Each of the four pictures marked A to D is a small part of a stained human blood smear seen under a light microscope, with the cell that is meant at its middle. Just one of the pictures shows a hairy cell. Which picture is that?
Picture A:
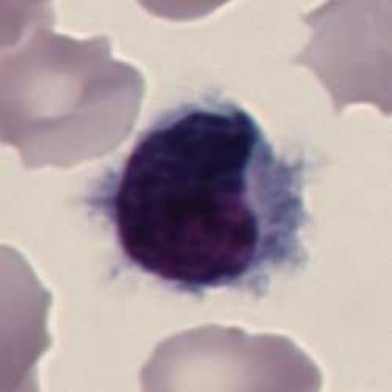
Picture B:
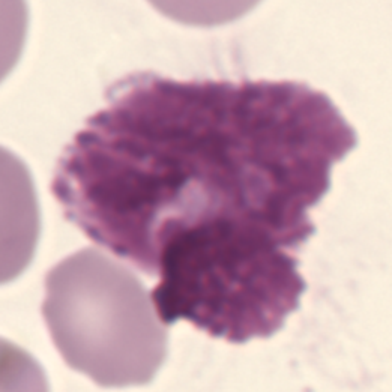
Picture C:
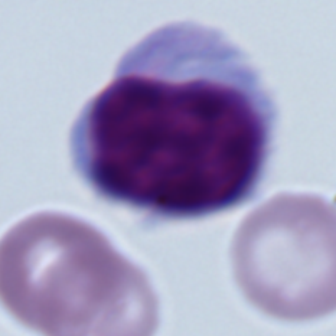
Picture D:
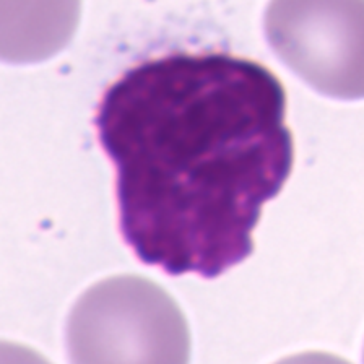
A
